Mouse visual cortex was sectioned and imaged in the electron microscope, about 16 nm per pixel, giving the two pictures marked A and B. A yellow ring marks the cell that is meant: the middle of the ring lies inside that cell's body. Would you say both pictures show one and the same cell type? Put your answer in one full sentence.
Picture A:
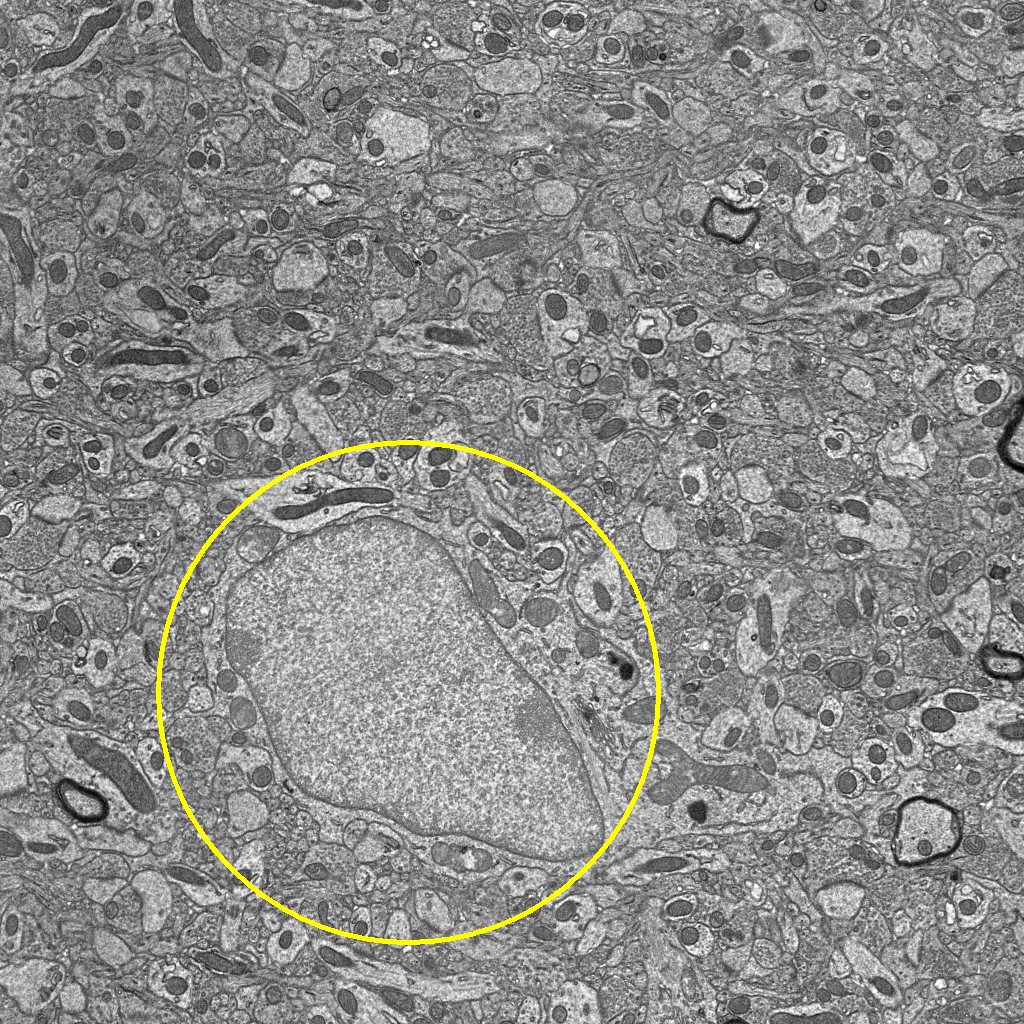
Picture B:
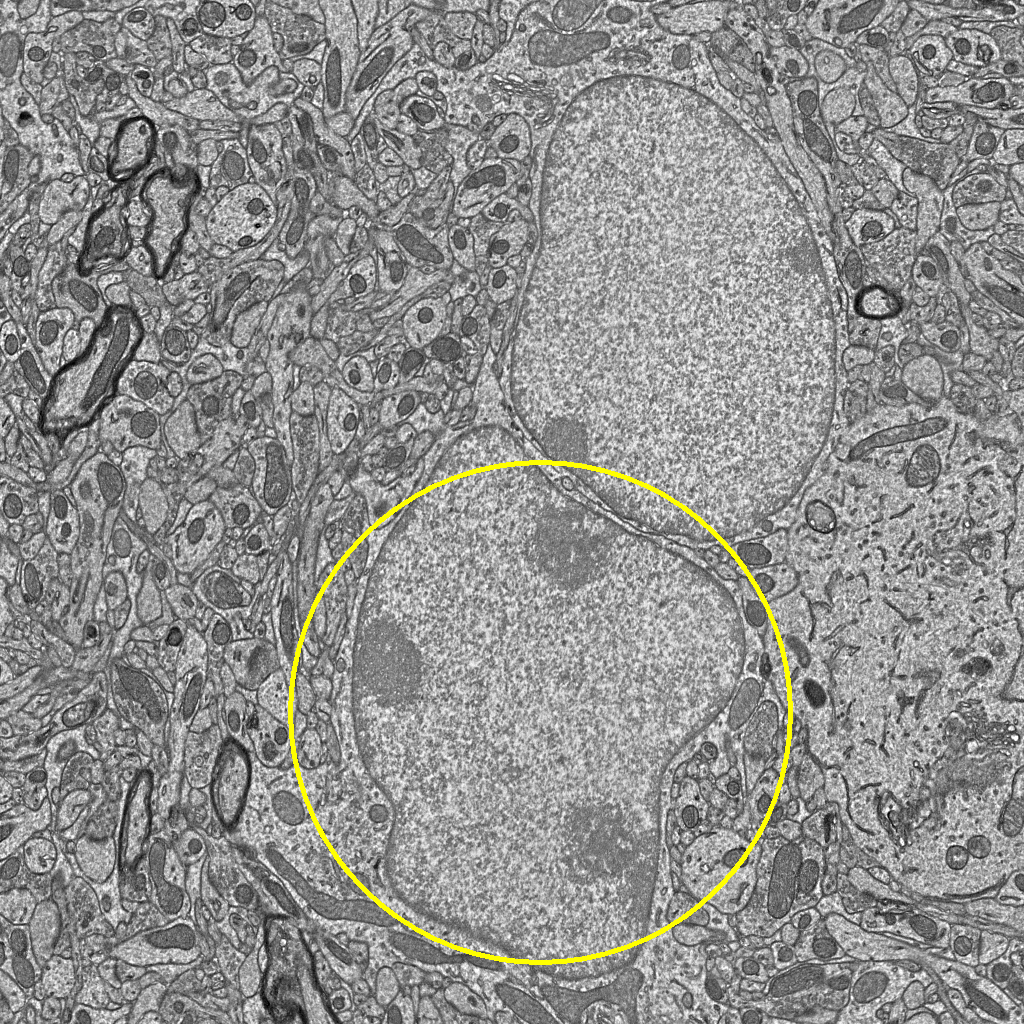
Yes, they are the same type: both are astrocytes.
